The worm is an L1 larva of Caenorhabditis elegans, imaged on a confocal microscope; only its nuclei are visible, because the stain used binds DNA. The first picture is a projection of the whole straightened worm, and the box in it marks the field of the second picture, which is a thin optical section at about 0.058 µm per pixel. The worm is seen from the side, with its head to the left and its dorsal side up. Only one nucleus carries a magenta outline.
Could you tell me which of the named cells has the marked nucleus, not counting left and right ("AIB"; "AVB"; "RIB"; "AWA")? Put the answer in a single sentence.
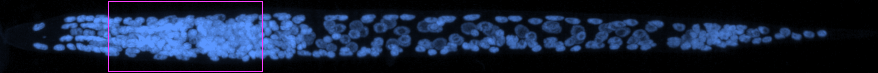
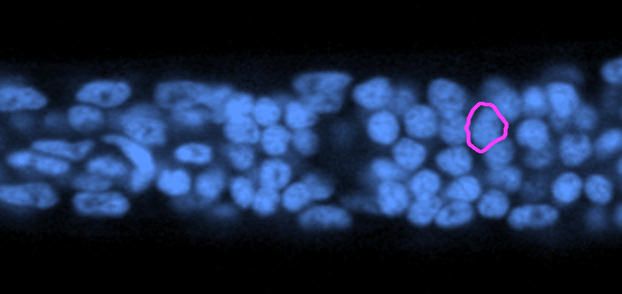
It belongs to AWA, a neuron.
